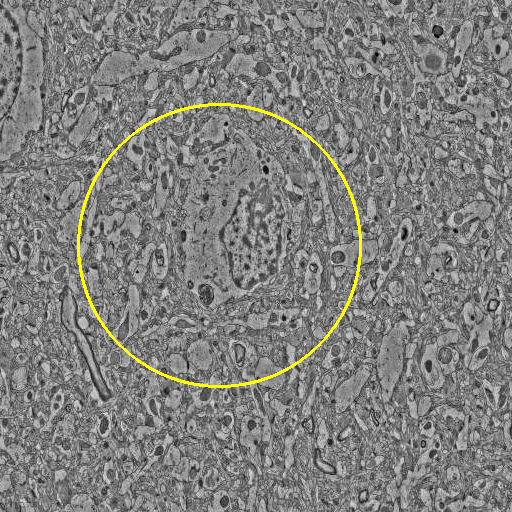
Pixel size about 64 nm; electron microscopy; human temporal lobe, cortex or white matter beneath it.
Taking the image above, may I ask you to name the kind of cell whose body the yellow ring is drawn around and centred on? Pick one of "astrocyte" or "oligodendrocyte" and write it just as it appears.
astrocyte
